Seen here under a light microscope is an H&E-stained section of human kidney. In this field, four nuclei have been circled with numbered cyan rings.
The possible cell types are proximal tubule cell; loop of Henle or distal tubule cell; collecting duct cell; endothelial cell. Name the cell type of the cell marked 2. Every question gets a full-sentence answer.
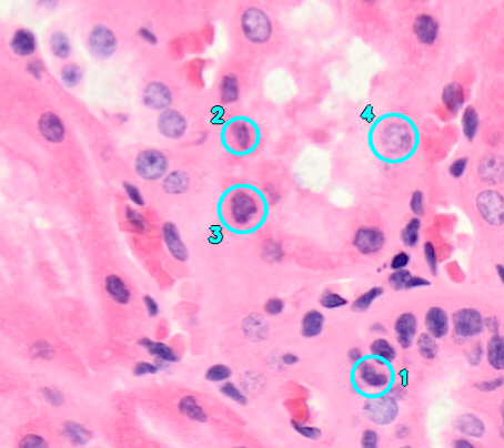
The cell given label 2 is a proximal tubule cell.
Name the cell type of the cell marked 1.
In this section, number 1 marks a collecting duct cell.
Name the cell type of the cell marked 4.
The nucleus with number 4 is that of a proximal tubule cell.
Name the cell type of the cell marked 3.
The numbered cell 3 is identified here as a proximal tubule cell.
